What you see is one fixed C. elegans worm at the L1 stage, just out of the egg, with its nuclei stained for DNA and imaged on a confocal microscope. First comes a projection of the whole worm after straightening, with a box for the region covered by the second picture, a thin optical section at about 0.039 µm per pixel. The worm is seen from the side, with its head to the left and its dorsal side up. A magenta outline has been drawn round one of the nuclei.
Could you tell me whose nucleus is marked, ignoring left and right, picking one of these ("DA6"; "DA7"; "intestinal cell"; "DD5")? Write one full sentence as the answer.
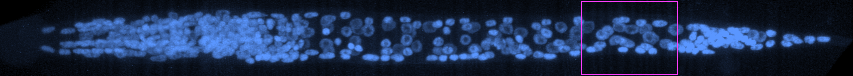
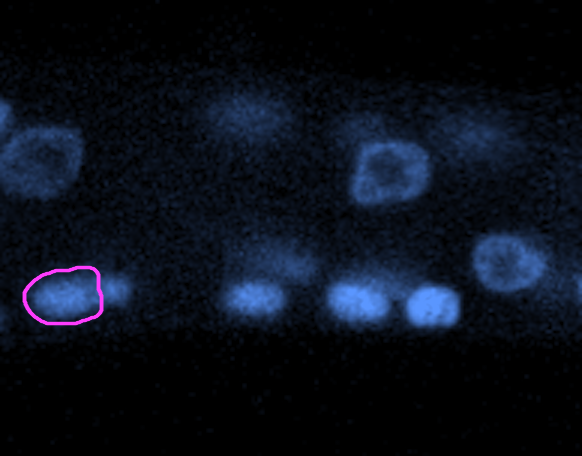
It is the nucleus of DA6, a neuron.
